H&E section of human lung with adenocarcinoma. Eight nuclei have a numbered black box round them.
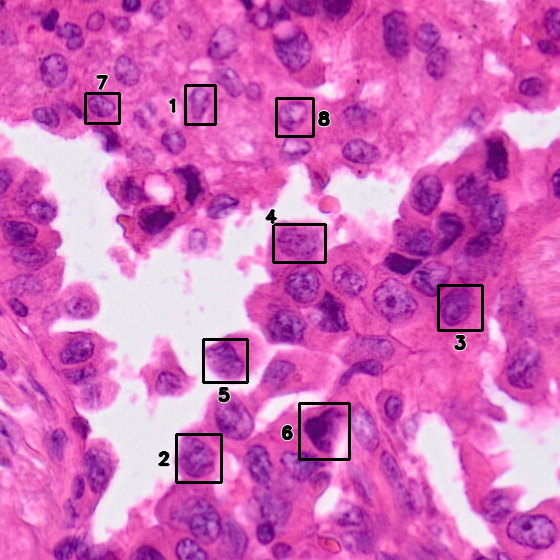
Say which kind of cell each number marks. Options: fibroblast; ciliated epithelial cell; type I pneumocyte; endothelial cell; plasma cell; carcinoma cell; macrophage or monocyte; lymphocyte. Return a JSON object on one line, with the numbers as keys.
{"1": "macrophage or monocyte", "2": "carcinoma cell", "3": "carcinoma cell", "4": "carcinoma cell", "5": "carcinoma cell", "6": "carcinoma cell", "7": "macrophage or monocyte", "8": "macrophage or monocyte"}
